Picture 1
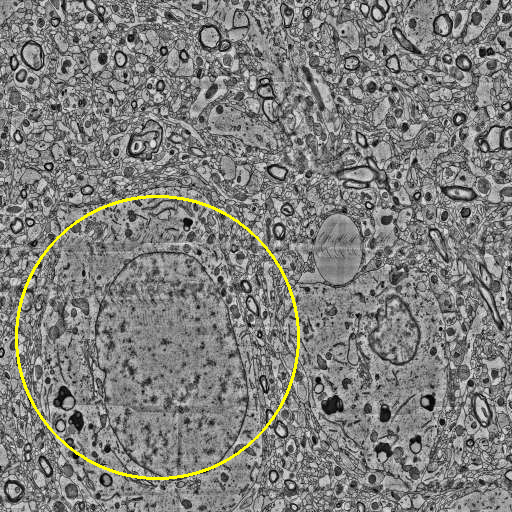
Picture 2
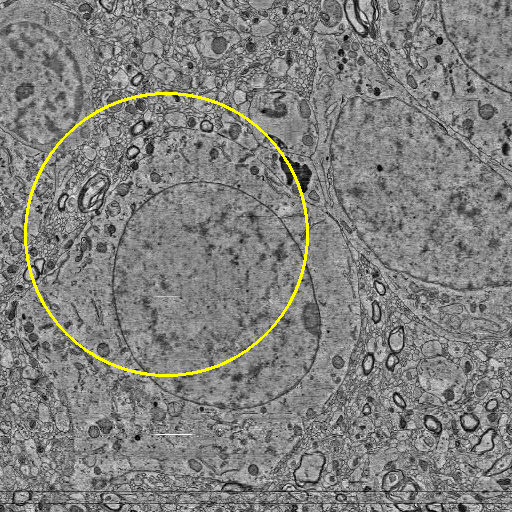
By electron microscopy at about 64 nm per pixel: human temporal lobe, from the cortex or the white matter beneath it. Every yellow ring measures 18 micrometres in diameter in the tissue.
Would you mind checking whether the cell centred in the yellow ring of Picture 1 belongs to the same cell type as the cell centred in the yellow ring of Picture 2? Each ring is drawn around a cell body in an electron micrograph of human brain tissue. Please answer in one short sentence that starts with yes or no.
Yes, both cells are of the same type.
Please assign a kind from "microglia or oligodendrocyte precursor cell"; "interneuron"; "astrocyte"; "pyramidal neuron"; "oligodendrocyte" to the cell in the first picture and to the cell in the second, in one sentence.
In the first picture and in the second, the ring is centred on a pyramidal neuron.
